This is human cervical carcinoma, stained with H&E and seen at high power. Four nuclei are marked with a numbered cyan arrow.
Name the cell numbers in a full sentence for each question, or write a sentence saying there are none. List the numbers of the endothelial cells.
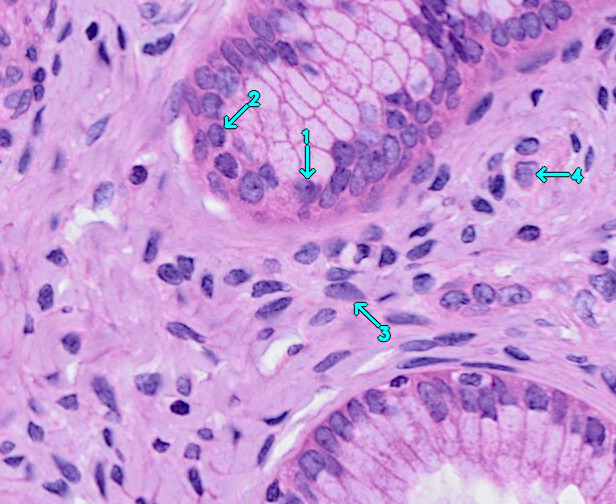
Cell 4 alone, of all the numbered cells, is an endothelial cell.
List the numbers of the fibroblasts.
Cell 3 is the one numbered cell that is a fibroblast.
